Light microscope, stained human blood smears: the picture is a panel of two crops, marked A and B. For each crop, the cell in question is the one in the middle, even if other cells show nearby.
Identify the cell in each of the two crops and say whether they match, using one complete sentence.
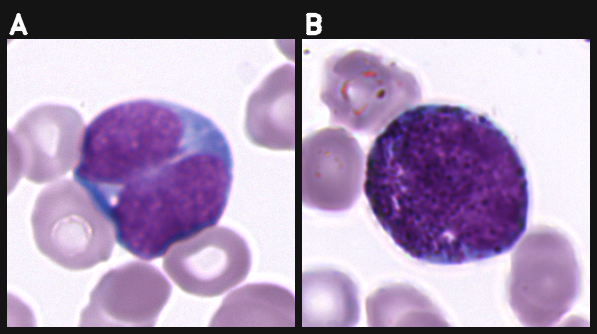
No, crop A is of a blast, and crop B is of a promyelocyte.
